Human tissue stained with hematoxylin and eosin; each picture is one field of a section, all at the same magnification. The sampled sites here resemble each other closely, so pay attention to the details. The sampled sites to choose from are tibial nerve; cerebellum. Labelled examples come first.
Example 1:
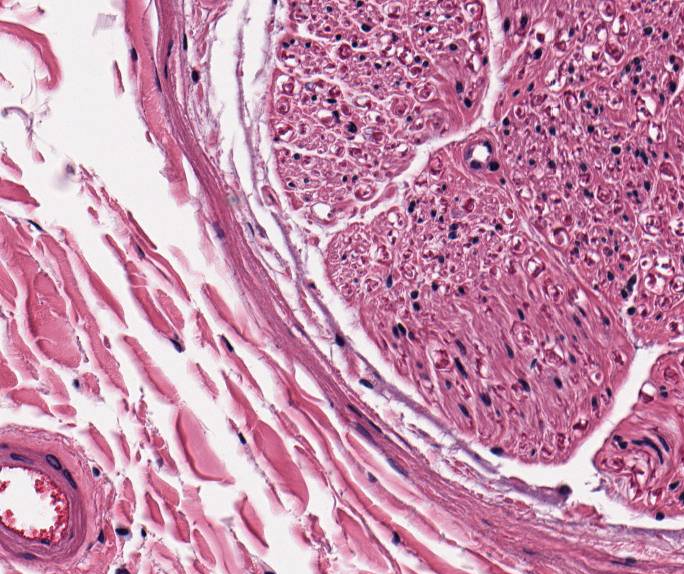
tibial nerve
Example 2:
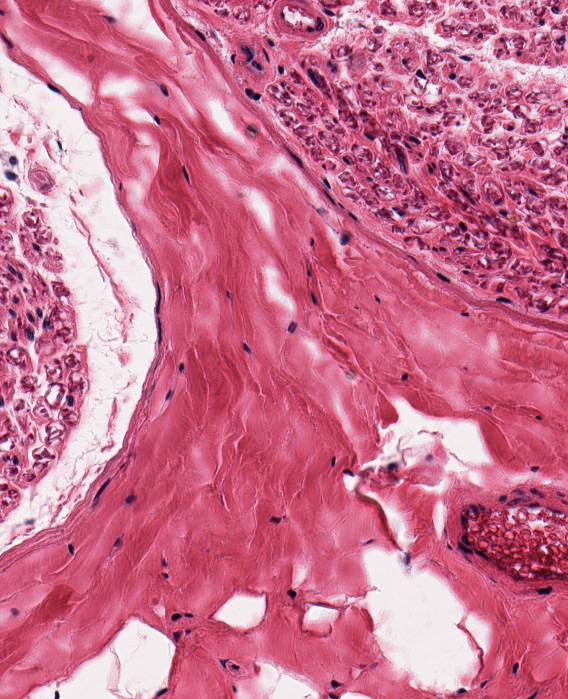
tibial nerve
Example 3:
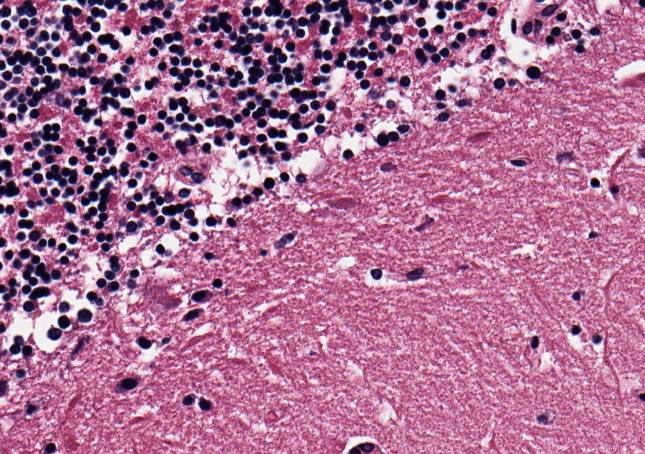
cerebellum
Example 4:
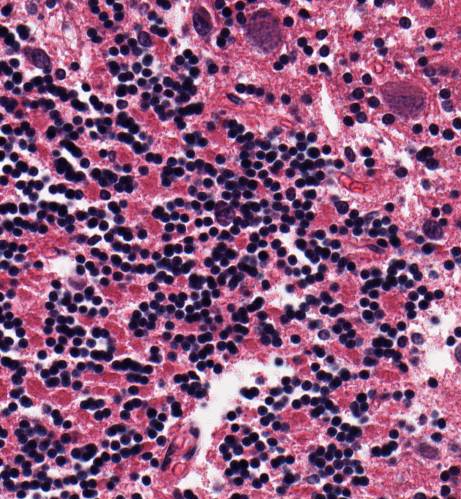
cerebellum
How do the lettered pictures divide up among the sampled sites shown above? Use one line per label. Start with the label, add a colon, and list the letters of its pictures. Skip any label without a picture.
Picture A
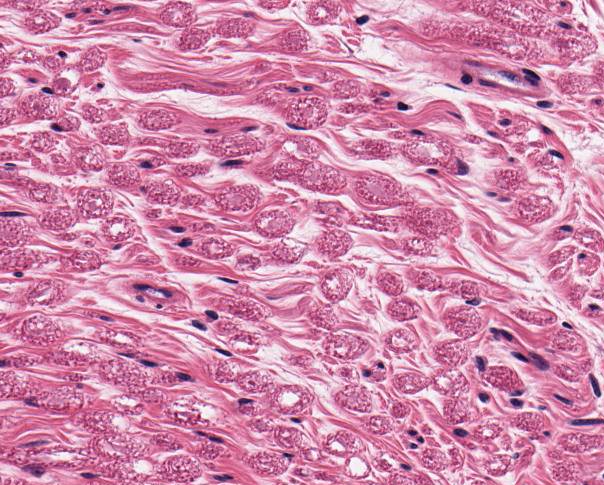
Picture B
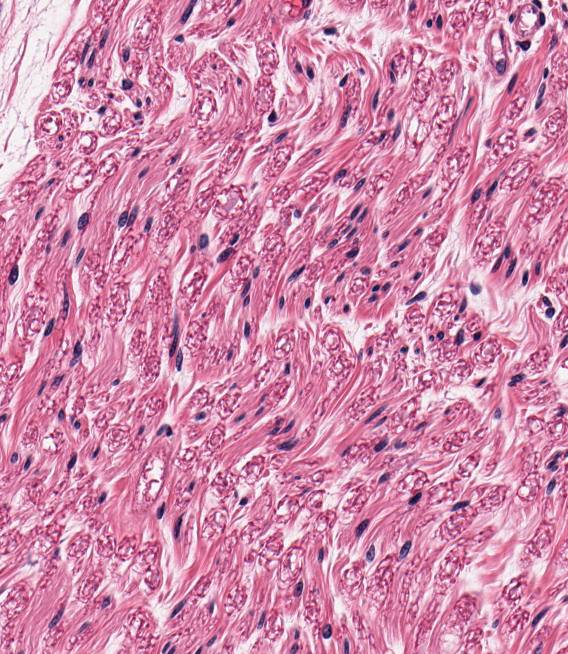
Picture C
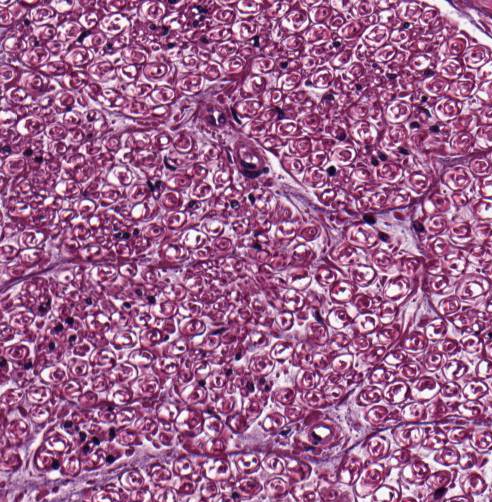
tibial nerve: A, B, C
